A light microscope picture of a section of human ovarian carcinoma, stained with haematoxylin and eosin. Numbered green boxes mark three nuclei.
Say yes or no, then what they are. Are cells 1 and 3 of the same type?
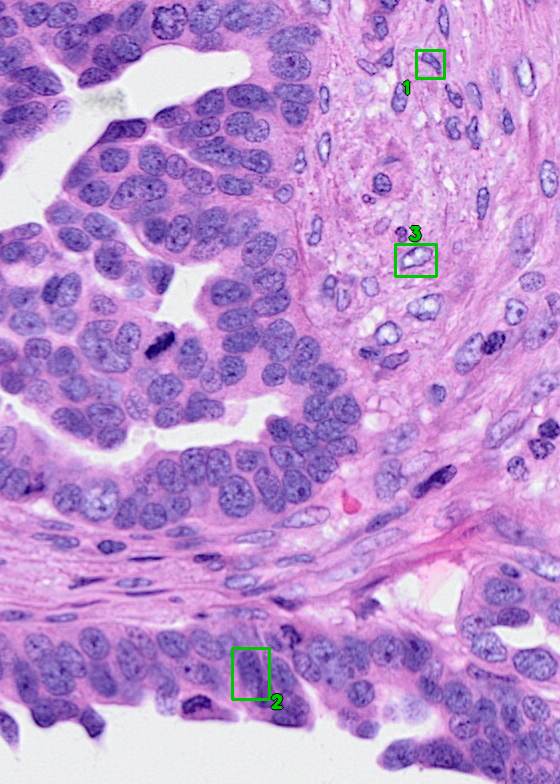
Yes, note that cells 1 and 3 are both fibroblasts.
